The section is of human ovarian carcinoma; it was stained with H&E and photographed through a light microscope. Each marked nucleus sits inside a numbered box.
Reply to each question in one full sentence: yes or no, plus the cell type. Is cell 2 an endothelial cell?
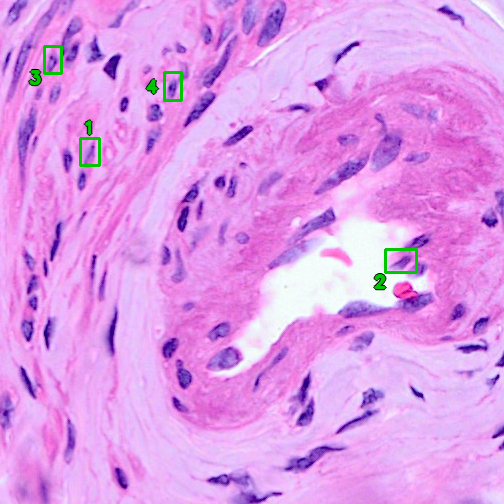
Yes, regarding cell number 2, it is an endothelial cell.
